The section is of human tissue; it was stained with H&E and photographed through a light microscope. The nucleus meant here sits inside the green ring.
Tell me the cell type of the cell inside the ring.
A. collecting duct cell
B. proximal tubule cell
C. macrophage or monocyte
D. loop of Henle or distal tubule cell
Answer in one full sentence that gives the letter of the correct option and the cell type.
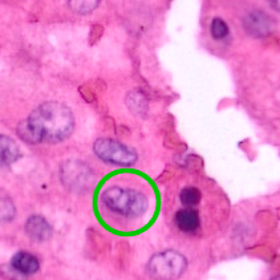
The choice that fits is option C, as the cell inside the ring is a macrophage or monocyte.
